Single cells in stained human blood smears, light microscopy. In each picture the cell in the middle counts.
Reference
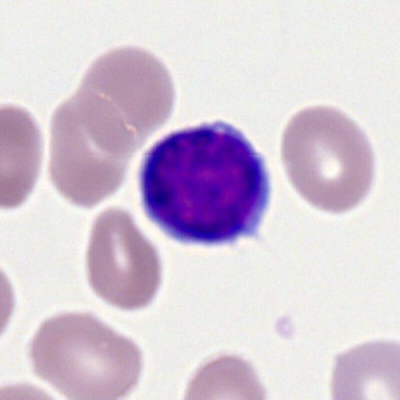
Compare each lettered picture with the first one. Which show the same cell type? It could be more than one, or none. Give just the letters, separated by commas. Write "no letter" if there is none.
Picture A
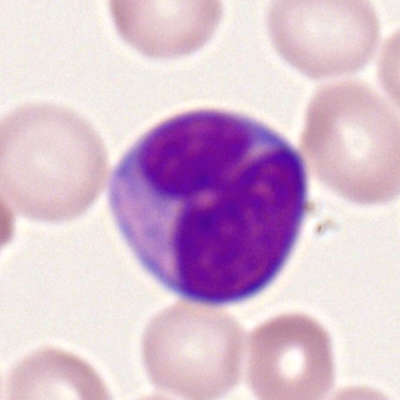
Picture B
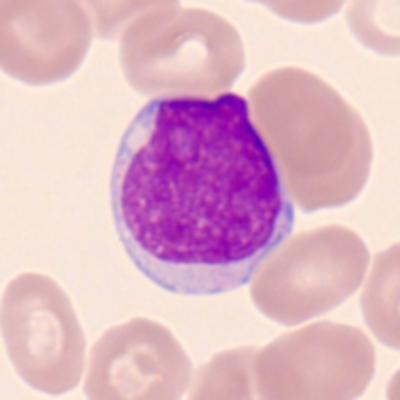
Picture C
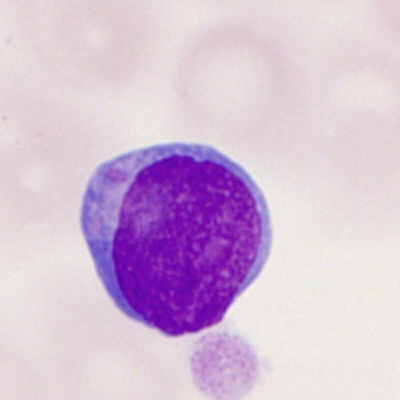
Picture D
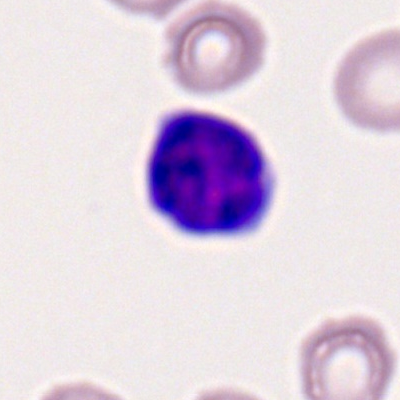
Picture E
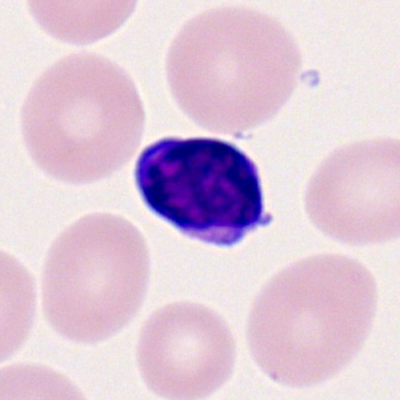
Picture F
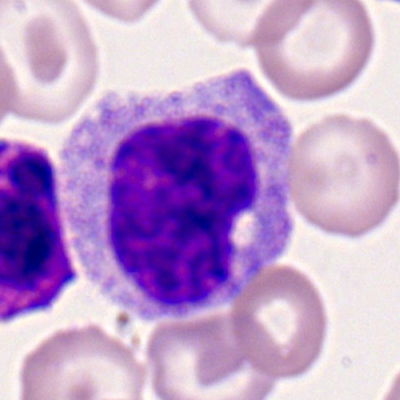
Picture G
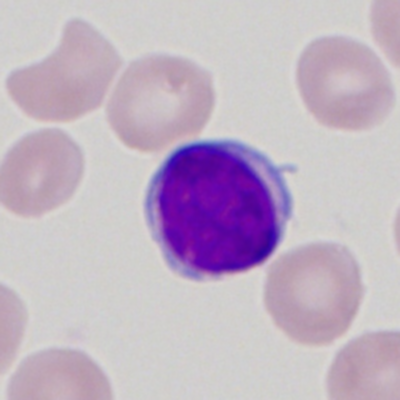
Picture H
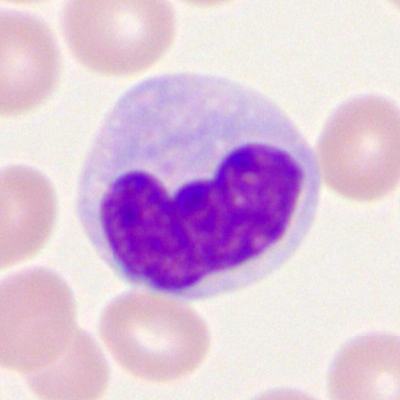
B, D, E, G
